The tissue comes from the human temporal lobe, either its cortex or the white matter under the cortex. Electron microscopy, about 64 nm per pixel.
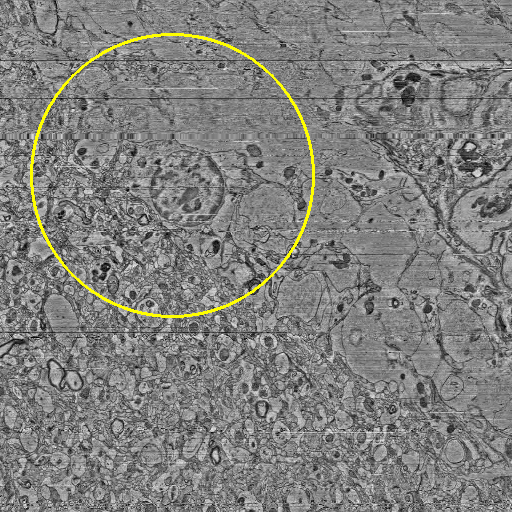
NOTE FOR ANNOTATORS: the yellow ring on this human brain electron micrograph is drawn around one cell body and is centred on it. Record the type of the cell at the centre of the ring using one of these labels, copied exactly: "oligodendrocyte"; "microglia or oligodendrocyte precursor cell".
oligodendrocyte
